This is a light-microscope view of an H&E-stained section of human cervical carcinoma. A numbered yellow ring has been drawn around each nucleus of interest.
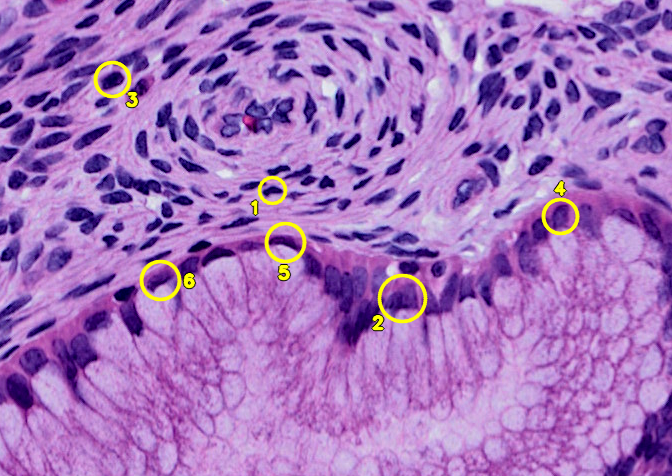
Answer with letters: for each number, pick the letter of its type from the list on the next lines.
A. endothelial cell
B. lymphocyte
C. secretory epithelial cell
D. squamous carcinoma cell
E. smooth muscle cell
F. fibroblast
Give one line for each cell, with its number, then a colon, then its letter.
1: F
2: C
3: B
4: C
5: C
6: C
